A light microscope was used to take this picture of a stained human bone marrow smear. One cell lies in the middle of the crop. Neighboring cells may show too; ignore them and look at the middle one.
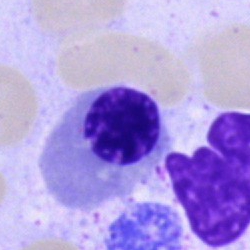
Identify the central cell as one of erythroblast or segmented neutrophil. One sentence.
To answer, the cell in the center of the crop is an erythroblast.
